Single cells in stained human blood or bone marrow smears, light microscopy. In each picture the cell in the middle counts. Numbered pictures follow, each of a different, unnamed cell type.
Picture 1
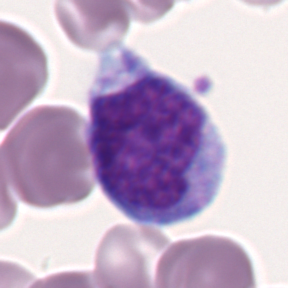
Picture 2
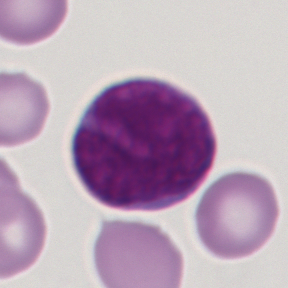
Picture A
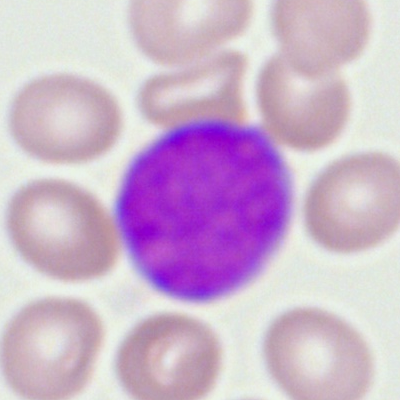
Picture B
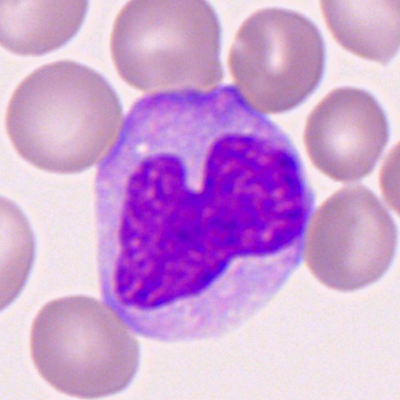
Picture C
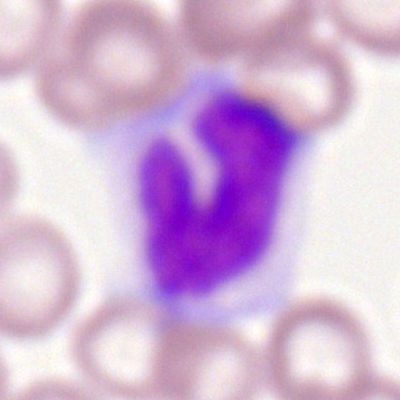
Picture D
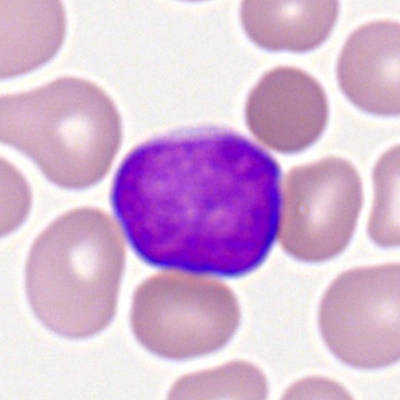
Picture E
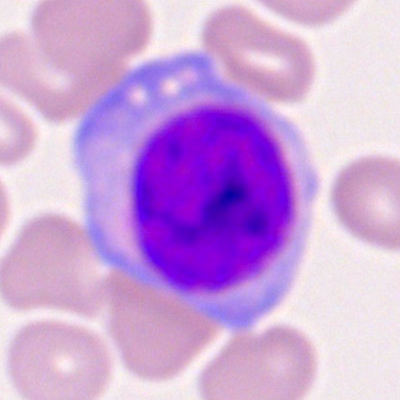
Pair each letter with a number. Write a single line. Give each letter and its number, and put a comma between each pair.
A 2, B 1, C 1, D 2, E 1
